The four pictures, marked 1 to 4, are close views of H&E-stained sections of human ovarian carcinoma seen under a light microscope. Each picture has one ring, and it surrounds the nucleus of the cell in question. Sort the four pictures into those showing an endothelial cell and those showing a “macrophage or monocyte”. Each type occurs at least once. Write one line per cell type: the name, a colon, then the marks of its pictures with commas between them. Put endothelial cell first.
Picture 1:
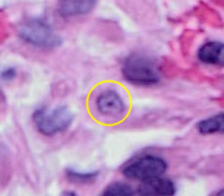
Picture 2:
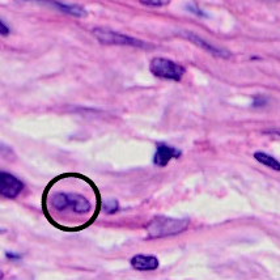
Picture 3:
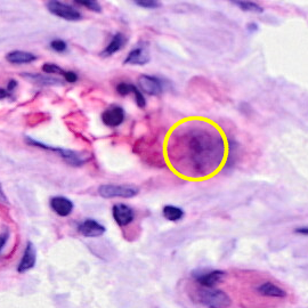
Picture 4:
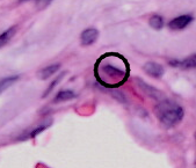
endothelial cell: 3, 4
macrophage or monocyte: 1, 2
